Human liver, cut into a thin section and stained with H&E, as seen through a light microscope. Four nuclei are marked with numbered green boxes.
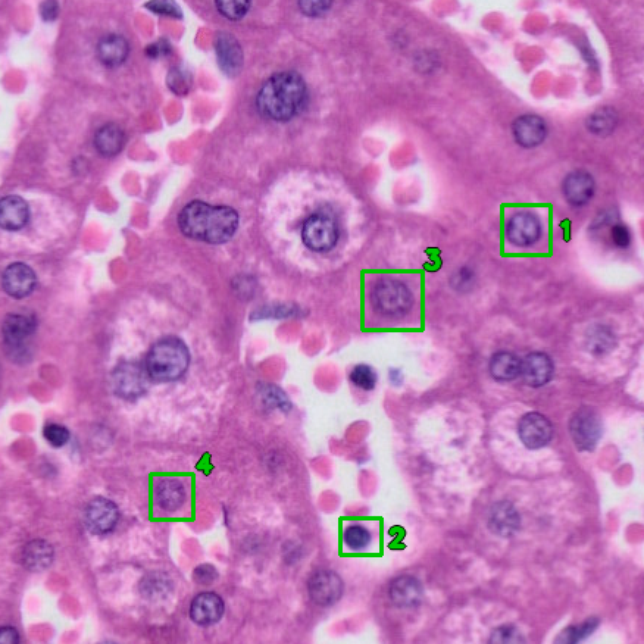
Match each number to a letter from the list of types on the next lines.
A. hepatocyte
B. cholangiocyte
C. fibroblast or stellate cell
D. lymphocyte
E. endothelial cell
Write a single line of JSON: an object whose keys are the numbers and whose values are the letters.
{"1": "A", "2": "D", "3": "A", "4": "A"}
